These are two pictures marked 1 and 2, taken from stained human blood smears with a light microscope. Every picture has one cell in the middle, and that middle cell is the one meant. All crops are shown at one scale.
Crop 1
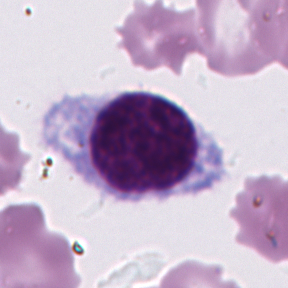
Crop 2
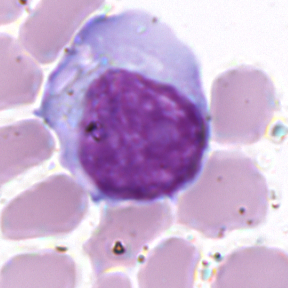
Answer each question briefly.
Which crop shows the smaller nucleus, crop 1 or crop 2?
1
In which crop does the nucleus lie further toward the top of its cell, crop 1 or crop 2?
1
